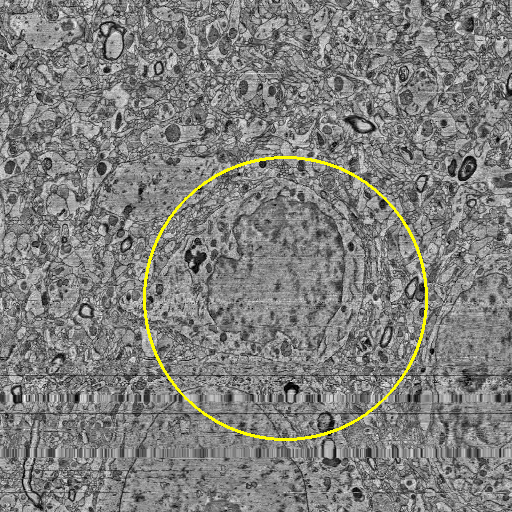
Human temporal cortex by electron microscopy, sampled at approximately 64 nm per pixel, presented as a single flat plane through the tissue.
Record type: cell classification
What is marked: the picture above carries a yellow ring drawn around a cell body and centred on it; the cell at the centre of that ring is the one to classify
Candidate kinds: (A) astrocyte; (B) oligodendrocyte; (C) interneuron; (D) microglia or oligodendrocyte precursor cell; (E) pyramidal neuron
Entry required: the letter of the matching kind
C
